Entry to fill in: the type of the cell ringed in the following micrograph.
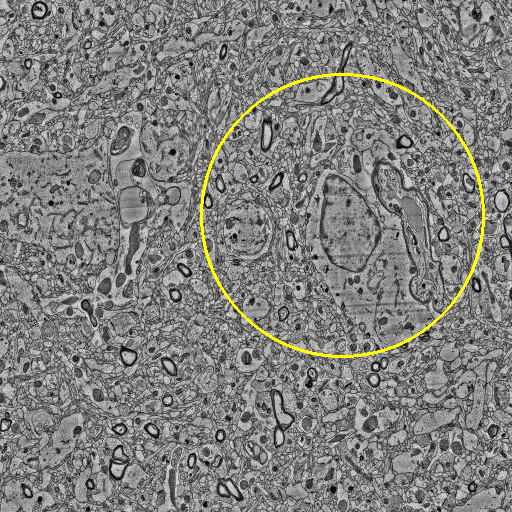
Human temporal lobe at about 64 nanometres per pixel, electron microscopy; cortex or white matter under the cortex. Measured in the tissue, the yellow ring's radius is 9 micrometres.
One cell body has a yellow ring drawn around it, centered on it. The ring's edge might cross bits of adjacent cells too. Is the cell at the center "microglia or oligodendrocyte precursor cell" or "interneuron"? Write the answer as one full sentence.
This entry names a microglial cell or oligodendrocyte precursor cell as the cell whose body lies at the ring's center.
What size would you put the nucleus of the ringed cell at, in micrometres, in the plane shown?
Approximately 6 micrometres long and 4 micrometres wide, in this plane.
